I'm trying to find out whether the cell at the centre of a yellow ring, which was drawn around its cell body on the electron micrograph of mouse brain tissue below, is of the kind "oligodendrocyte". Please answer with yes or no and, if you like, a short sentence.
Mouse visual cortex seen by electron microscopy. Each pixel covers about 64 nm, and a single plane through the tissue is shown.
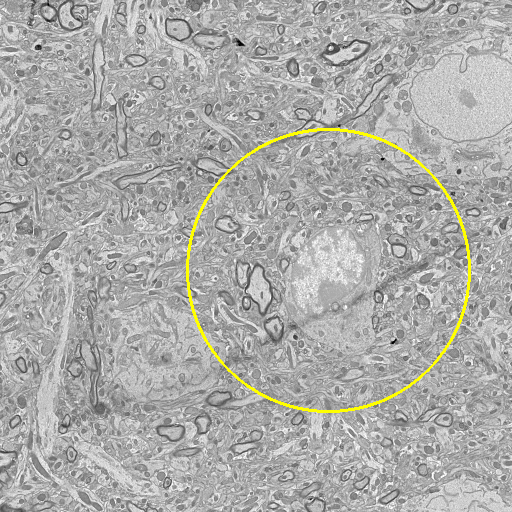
Yes, that cell is of the given kind.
